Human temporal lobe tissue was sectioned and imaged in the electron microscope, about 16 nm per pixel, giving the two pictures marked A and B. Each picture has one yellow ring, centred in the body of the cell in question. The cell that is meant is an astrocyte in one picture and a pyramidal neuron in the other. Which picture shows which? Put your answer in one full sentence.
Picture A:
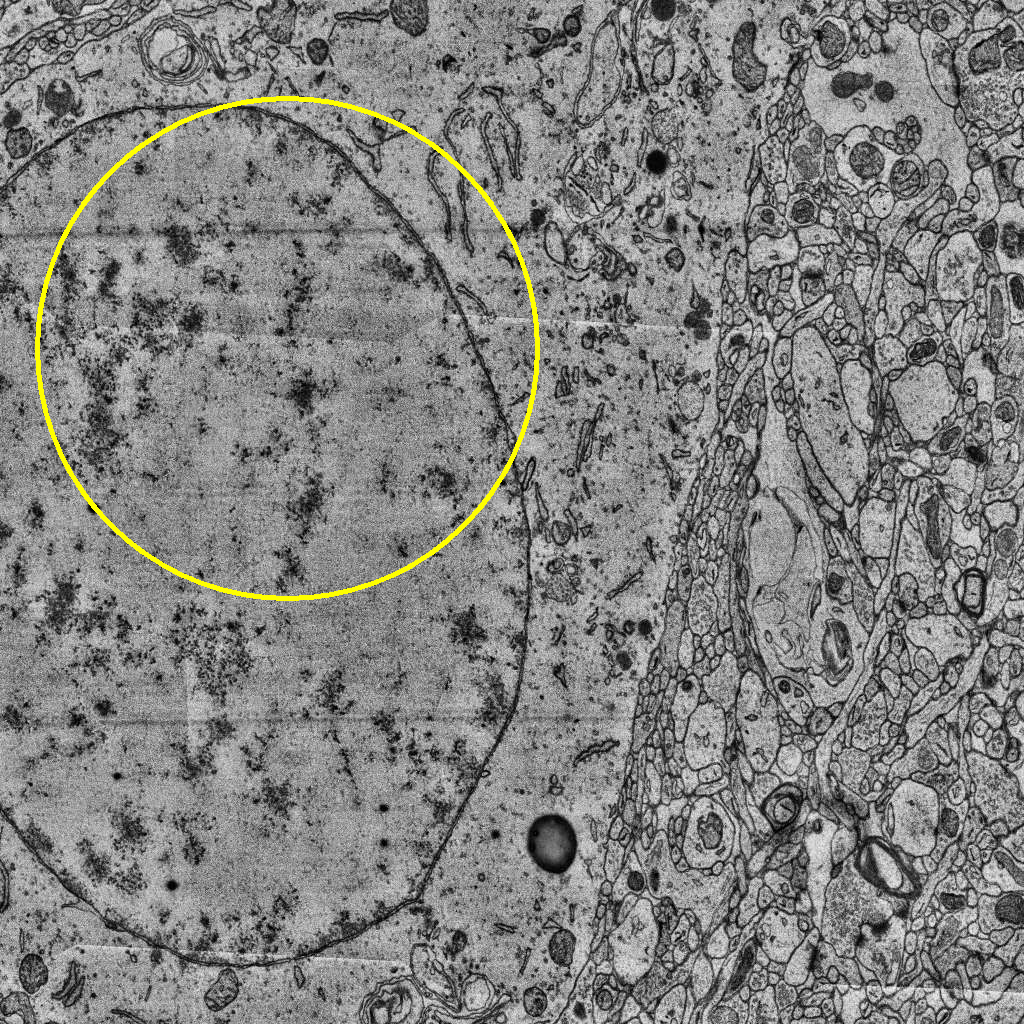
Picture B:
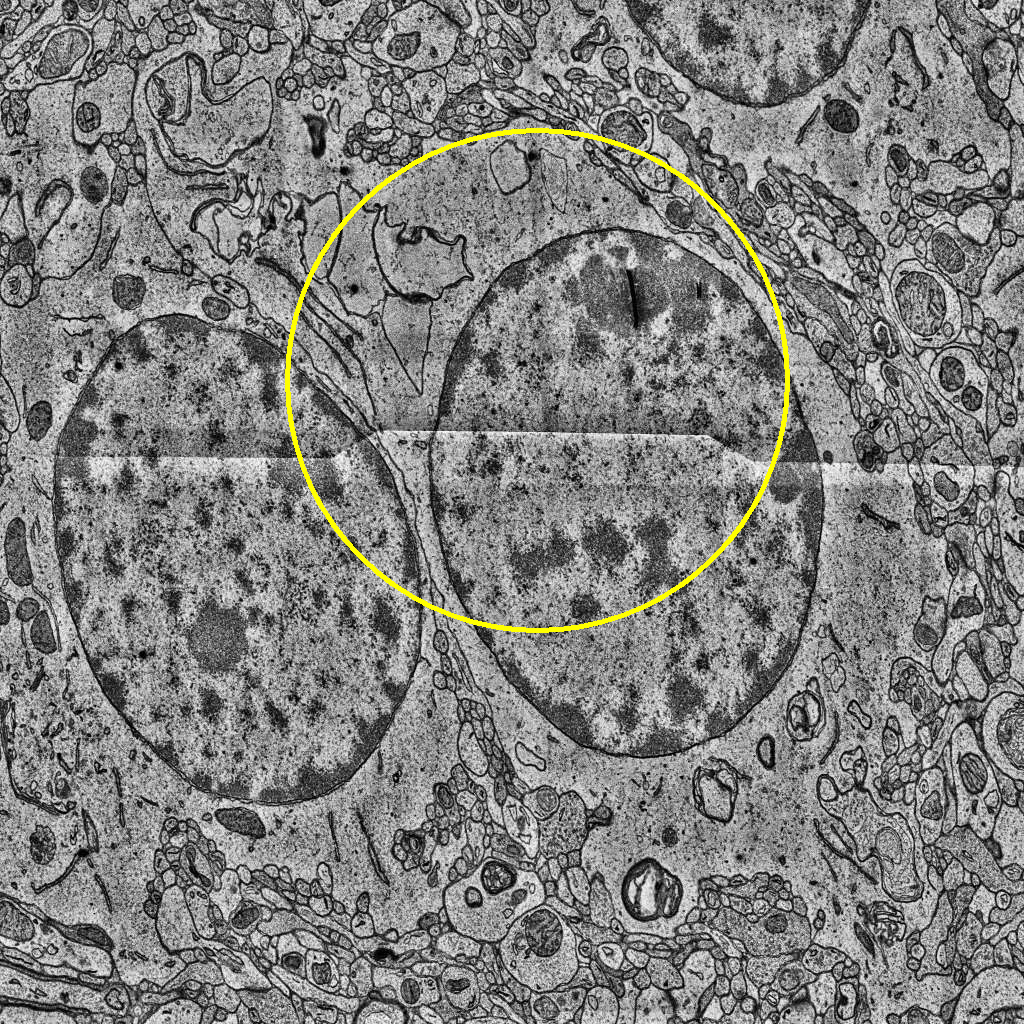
The cell in picture A is a pyramidal neuron, and the one in picture B is an astrocyte.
